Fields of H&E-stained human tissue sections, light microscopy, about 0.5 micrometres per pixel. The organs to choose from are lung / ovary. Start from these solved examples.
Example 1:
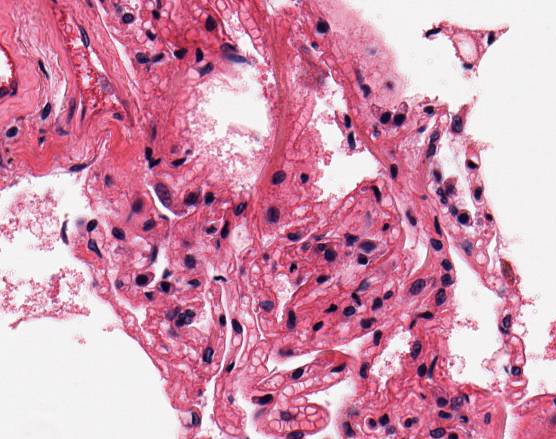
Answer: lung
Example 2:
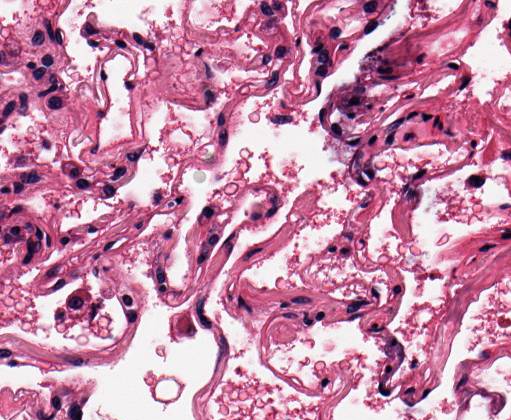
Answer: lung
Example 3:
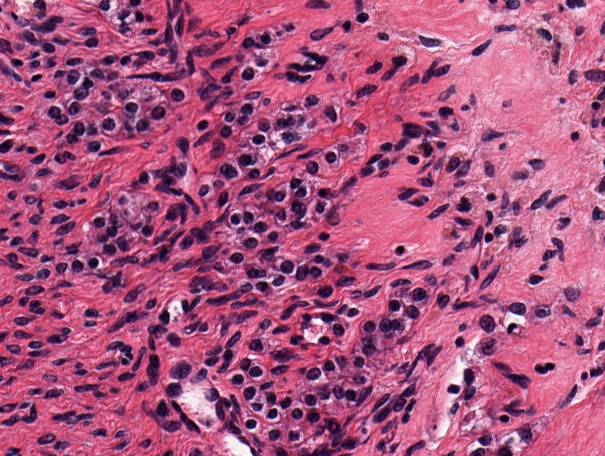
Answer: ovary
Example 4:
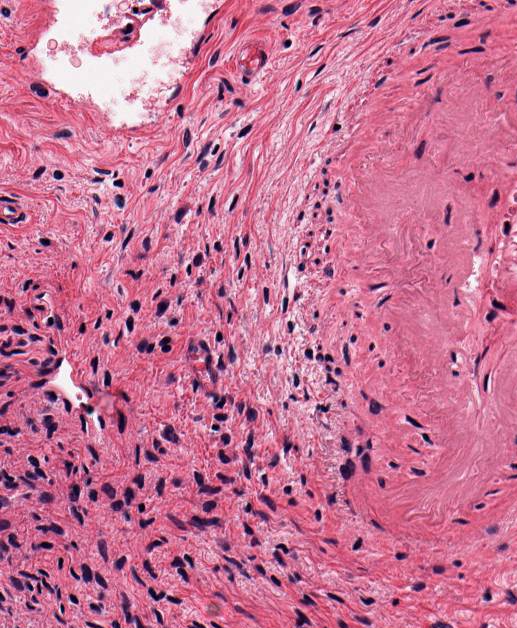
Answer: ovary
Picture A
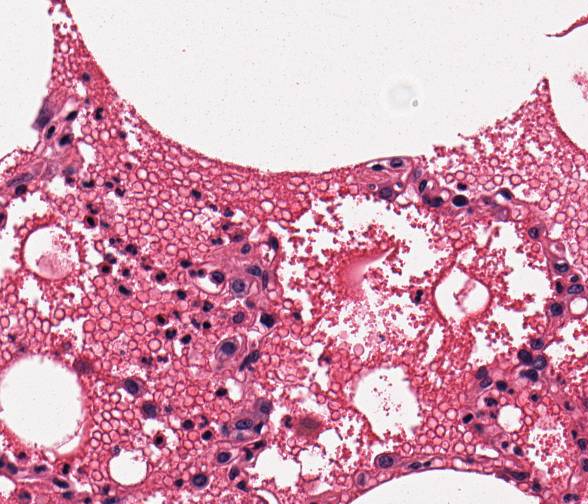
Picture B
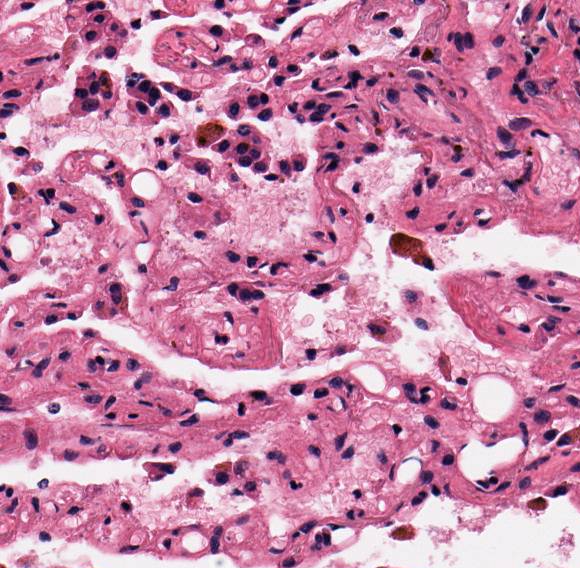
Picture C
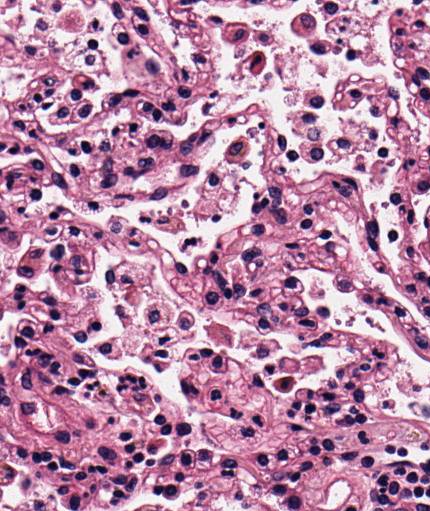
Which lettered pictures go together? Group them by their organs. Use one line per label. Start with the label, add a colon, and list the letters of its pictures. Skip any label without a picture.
lung: A, B, C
